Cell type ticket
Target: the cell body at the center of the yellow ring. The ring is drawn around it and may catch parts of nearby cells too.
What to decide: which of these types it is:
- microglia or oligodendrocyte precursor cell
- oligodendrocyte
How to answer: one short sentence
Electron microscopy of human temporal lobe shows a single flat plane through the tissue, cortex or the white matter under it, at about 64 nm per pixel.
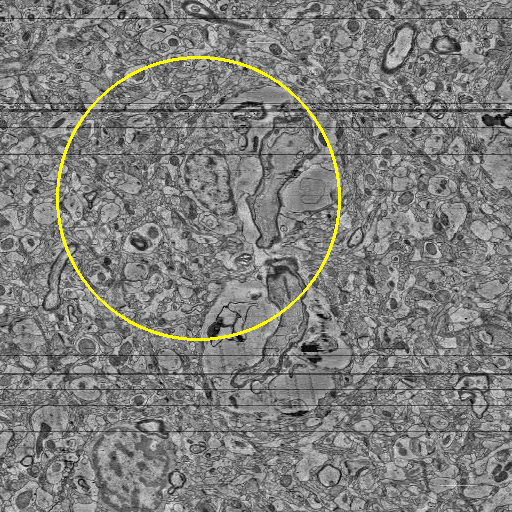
The cell at the center of the ring is a microglial cell or oligodendrocyte precursor cell.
